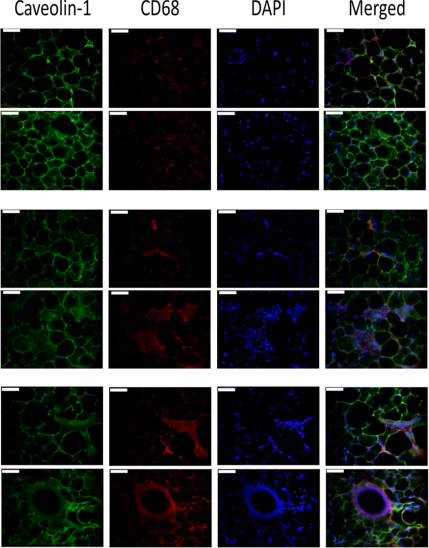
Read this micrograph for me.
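A grid of fluorescence images of adipose tissue, showing adipocytes as large dark polygonal spaces outlined by thin green membranes in a honeycomb pattern. Small blue nuclei sit scattered along these borders. Red cells lie in the narrow spaces between adipocytes, mostly few and faint. In some images red and blue gather in clusters between the cells, and in one image a dense ring of many blue nuclei and red cells encircles a single adipocyte, forming a crown-like arrangement around it.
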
